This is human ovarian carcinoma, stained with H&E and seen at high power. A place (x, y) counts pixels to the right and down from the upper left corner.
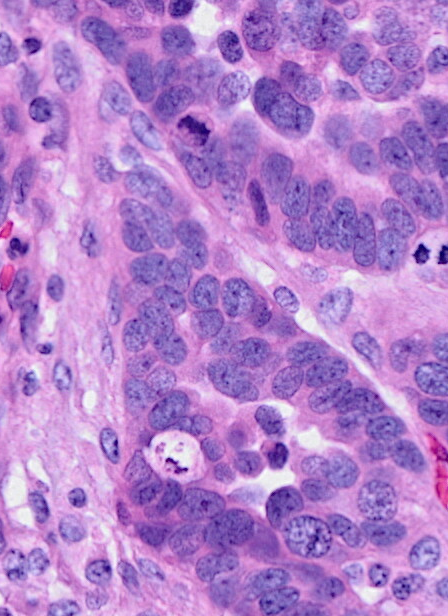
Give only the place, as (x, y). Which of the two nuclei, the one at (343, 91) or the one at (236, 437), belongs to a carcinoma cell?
(236, 437)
